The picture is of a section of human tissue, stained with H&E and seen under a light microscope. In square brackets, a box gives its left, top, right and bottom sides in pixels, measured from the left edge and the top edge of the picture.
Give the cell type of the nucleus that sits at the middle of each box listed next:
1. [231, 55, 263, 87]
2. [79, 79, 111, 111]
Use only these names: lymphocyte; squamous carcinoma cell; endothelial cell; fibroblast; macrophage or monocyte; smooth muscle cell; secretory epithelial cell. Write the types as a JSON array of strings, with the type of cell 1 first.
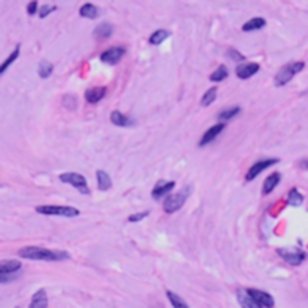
["fibroblast", "endothelial cell"]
